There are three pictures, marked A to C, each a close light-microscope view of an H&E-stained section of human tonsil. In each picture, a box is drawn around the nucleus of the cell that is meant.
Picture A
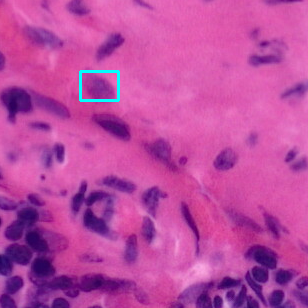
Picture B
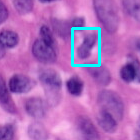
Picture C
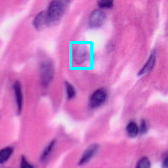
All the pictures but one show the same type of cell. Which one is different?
B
